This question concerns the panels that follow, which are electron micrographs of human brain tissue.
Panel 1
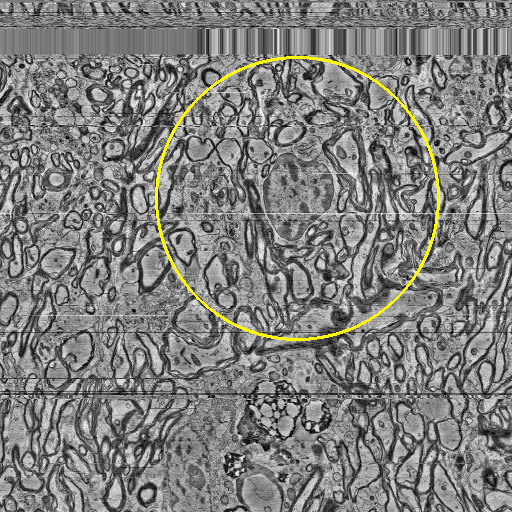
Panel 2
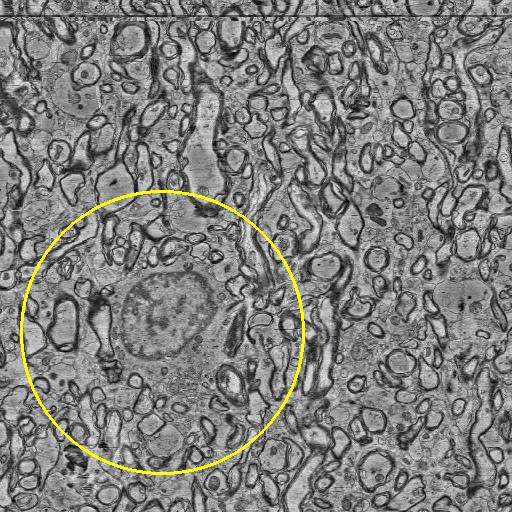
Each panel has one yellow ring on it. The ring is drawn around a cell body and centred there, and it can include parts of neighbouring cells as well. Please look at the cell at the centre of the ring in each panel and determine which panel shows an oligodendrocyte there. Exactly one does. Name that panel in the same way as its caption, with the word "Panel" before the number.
Panel 2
